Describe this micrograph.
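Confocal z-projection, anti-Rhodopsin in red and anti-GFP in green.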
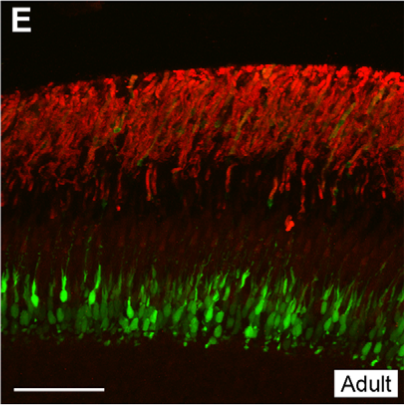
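Some green cells show rounded swellings at their lower ends. Between the two bands, faint streaks connect the red profiles toward the green cells. The tissue below the green band is dark.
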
